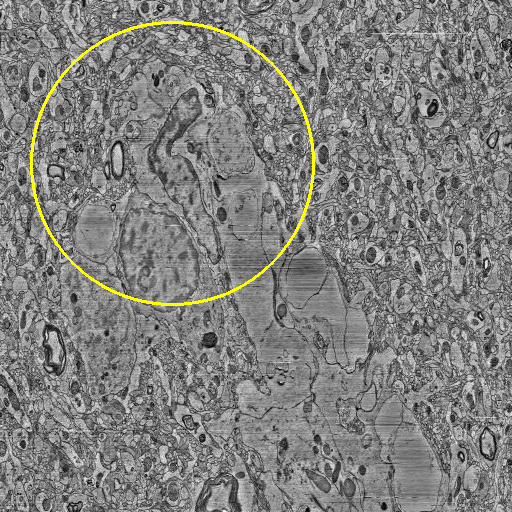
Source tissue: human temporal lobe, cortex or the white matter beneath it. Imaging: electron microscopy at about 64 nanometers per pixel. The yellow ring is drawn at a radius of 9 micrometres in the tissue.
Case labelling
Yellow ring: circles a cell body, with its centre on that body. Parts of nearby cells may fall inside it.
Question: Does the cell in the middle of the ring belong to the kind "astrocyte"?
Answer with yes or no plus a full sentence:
No, in this picture the cell in the middle of the yellow ring belongs to a different kind.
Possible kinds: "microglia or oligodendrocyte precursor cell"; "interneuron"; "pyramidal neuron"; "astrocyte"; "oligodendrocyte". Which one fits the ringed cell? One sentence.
Instead, the picture shows a microglial cell or oligodendrocyte precursor cell at the centre of the ring.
